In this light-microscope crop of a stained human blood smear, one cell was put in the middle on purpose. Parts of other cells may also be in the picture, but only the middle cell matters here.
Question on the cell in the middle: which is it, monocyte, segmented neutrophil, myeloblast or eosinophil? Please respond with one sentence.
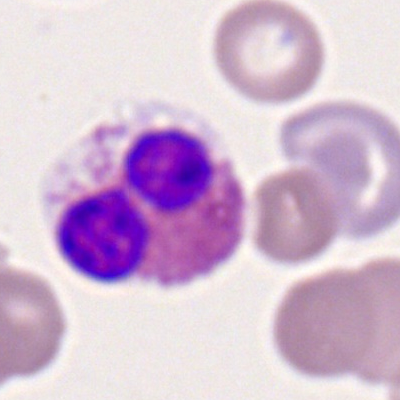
By type, the central cell of the crop is an eosinophil.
